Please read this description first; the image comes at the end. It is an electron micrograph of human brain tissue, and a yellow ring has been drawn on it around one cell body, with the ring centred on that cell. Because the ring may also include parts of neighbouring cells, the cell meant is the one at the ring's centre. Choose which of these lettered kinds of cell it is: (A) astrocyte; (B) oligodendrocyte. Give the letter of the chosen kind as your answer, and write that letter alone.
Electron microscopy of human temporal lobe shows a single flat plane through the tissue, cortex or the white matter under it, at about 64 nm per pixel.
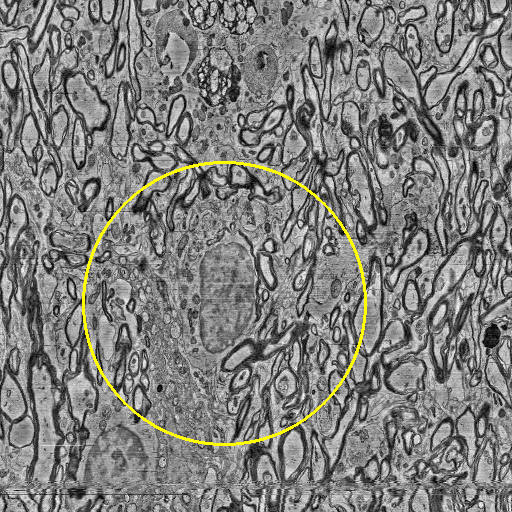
B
